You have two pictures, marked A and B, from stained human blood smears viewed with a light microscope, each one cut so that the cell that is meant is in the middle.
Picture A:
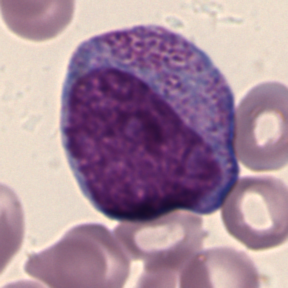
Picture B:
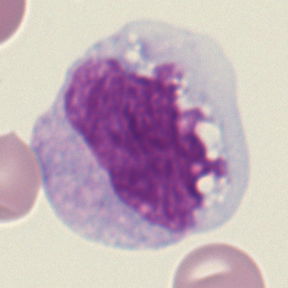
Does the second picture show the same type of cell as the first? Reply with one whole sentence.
No. Picture A shows a promyelocyte, but picture B shows a monocyte.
